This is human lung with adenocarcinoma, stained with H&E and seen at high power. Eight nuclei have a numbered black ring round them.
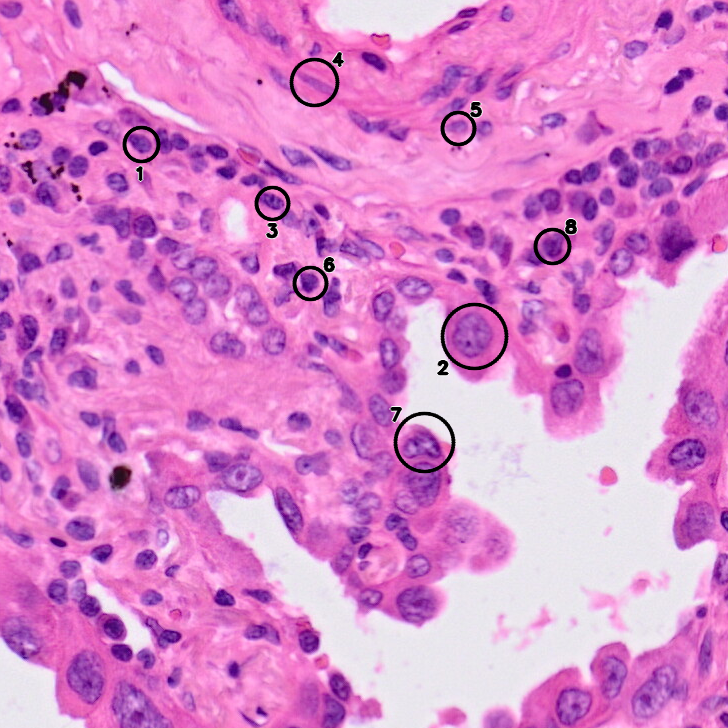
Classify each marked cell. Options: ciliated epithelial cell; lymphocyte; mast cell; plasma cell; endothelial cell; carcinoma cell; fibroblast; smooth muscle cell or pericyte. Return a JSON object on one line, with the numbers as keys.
{"1": "lymphocyte", "2": "carcinoma cell", "3": "mast cell", "4": "smooth muscle cell or pericyte", "5": "smooth muscle cell or pericyte", "6": "lymphocyte", "7": "carcinoma cell", "8": "plasma cell"}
